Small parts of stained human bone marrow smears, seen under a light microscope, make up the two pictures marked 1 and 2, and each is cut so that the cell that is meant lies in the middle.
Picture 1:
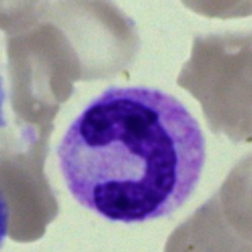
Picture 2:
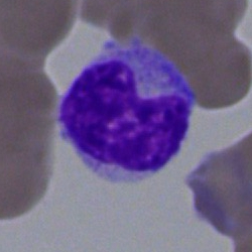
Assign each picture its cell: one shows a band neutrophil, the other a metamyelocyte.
1: band neutrophil
2: metamyelocyte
